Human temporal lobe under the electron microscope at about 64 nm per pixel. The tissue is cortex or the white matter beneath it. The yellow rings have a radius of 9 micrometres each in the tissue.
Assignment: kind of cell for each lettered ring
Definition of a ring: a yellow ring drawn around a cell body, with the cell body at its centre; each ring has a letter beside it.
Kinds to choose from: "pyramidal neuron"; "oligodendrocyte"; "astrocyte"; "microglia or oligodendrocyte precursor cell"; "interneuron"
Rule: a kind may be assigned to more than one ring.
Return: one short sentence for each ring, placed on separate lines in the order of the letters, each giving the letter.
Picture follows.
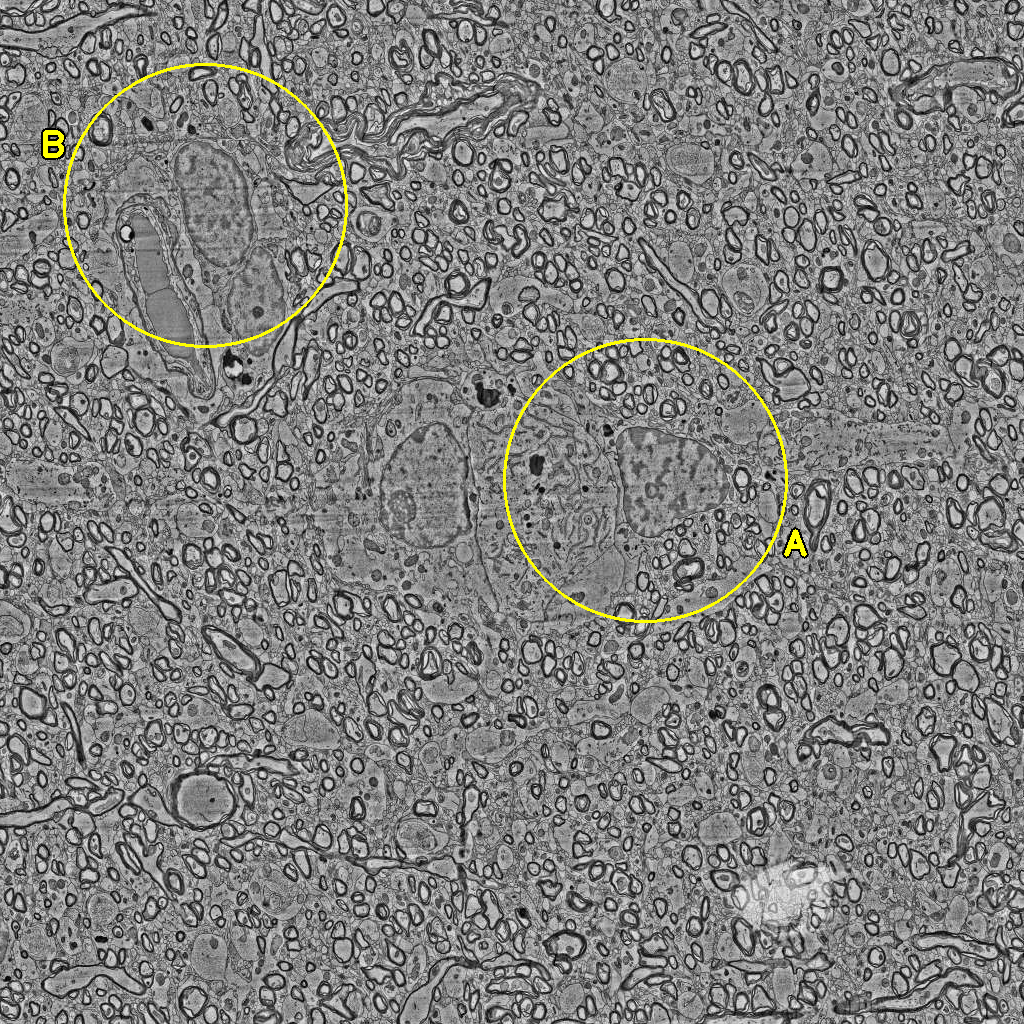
The ring marked A is centred on a microglial cell or oligodendrocyte precursor cell.
The ring marked B is centred on an oligodendrocyte.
